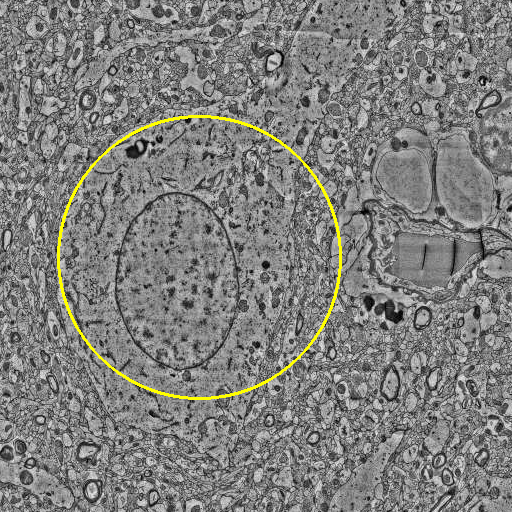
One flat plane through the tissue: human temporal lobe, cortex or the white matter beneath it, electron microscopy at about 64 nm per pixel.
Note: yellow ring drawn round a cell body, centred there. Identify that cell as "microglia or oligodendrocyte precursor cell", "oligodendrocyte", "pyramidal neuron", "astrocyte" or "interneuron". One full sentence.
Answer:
The cell in the middle of the ring is a pyramidal neuron.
